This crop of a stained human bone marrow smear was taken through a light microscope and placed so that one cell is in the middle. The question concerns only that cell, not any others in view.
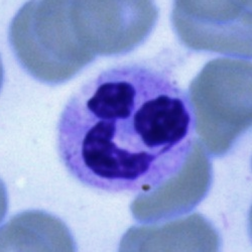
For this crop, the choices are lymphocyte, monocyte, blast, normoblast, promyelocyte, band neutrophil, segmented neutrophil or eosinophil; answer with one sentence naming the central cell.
Whatever else lies nearby, the middle cell is a segmented neutrophil.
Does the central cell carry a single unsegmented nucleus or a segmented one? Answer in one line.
Its nucleus is lobed, with at least two separate segments.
